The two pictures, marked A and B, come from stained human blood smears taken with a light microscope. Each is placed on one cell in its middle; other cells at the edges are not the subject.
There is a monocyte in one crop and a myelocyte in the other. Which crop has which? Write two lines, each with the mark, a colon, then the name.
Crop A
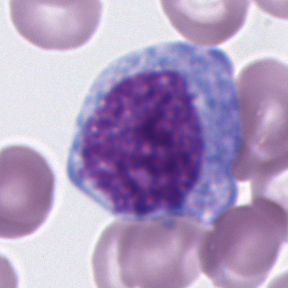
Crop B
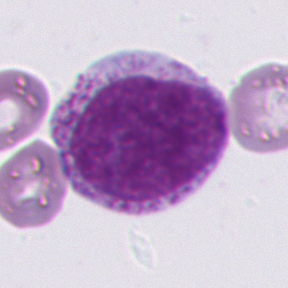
A: monocyte
B: myelocyte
